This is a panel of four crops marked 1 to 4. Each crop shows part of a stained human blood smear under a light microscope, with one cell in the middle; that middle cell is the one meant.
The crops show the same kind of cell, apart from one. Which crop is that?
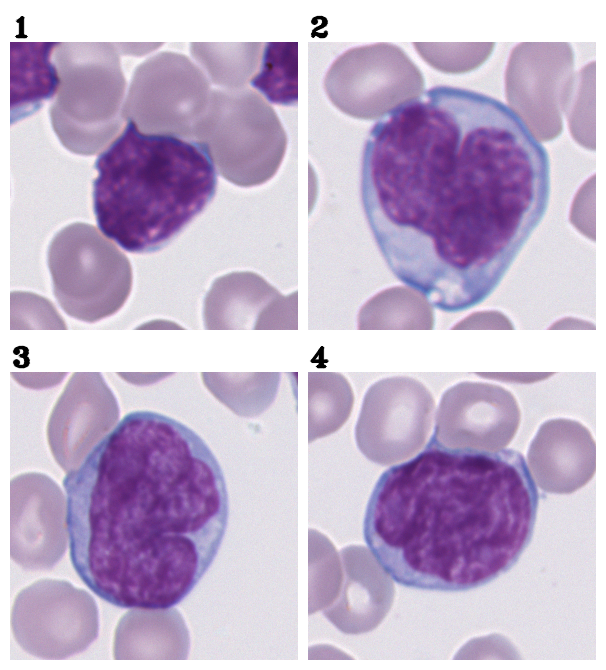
1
